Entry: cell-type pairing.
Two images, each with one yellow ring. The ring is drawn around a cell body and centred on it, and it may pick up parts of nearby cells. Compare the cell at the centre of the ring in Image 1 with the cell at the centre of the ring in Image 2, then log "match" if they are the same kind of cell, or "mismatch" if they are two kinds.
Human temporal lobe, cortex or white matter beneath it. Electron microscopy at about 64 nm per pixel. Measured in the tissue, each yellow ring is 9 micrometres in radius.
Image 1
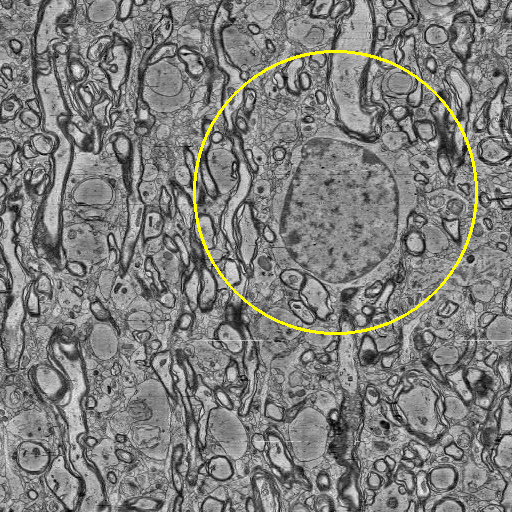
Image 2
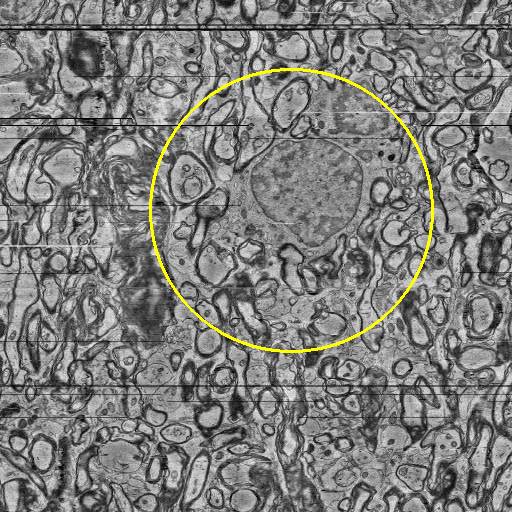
mismatch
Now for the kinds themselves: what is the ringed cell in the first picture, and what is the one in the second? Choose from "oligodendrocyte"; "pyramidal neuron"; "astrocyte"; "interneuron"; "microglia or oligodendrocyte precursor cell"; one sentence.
Here the first cell is a microglial cell or oligodendrocyte precursor cell and the second cell is an oligodendrocyte.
